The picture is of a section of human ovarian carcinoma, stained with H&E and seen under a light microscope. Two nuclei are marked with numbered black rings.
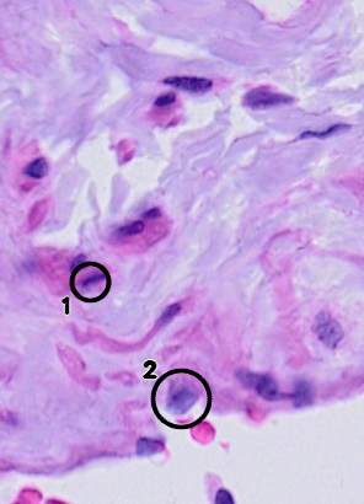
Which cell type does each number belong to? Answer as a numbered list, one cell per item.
1. smooth muscle cell
2. endothelial cell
